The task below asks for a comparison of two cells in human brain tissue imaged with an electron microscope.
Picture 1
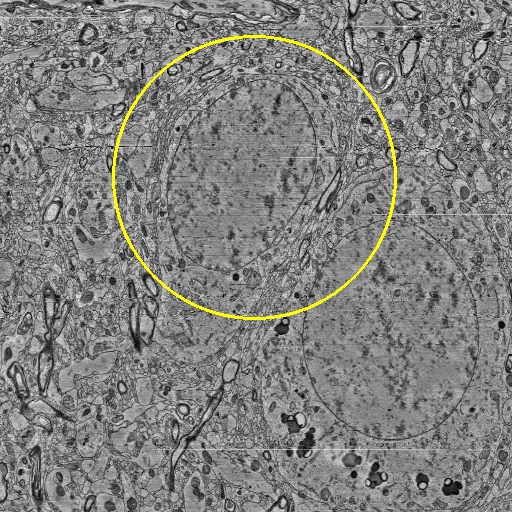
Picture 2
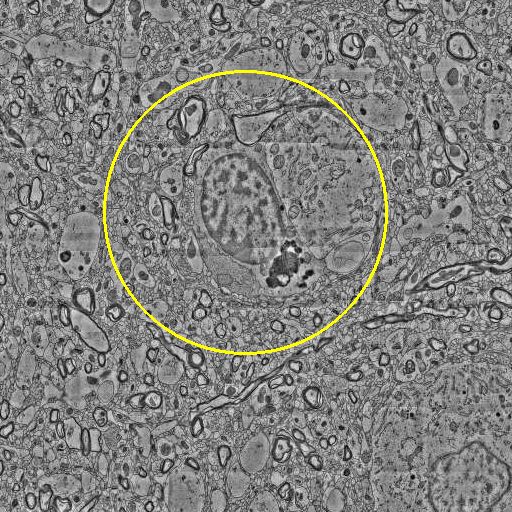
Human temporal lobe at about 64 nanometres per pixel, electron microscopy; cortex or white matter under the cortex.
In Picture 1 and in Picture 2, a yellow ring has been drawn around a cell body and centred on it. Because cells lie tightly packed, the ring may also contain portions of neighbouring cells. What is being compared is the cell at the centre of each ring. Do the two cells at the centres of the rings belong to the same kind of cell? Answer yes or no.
no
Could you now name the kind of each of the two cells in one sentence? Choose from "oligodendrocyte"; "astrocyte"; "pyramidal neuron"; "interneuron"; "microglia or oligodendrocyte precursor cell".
The first ring encloses a pyramidal neuron; the second ring encloses an oligodendrocyte.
